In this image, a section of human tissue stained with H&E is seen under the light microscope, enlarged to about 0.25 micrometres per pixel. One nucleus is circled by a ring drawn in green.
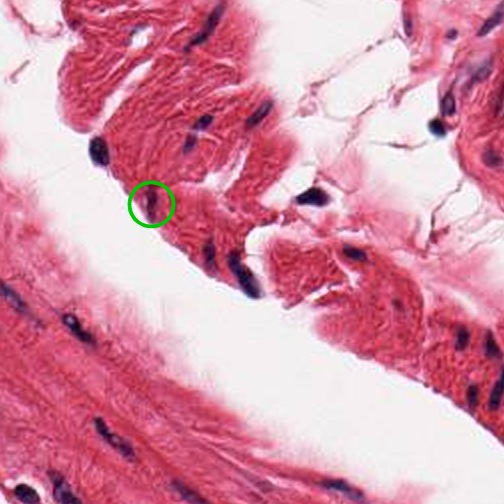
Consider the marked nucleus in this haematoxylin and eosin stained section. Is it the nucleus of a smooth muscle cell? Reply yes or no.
yes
